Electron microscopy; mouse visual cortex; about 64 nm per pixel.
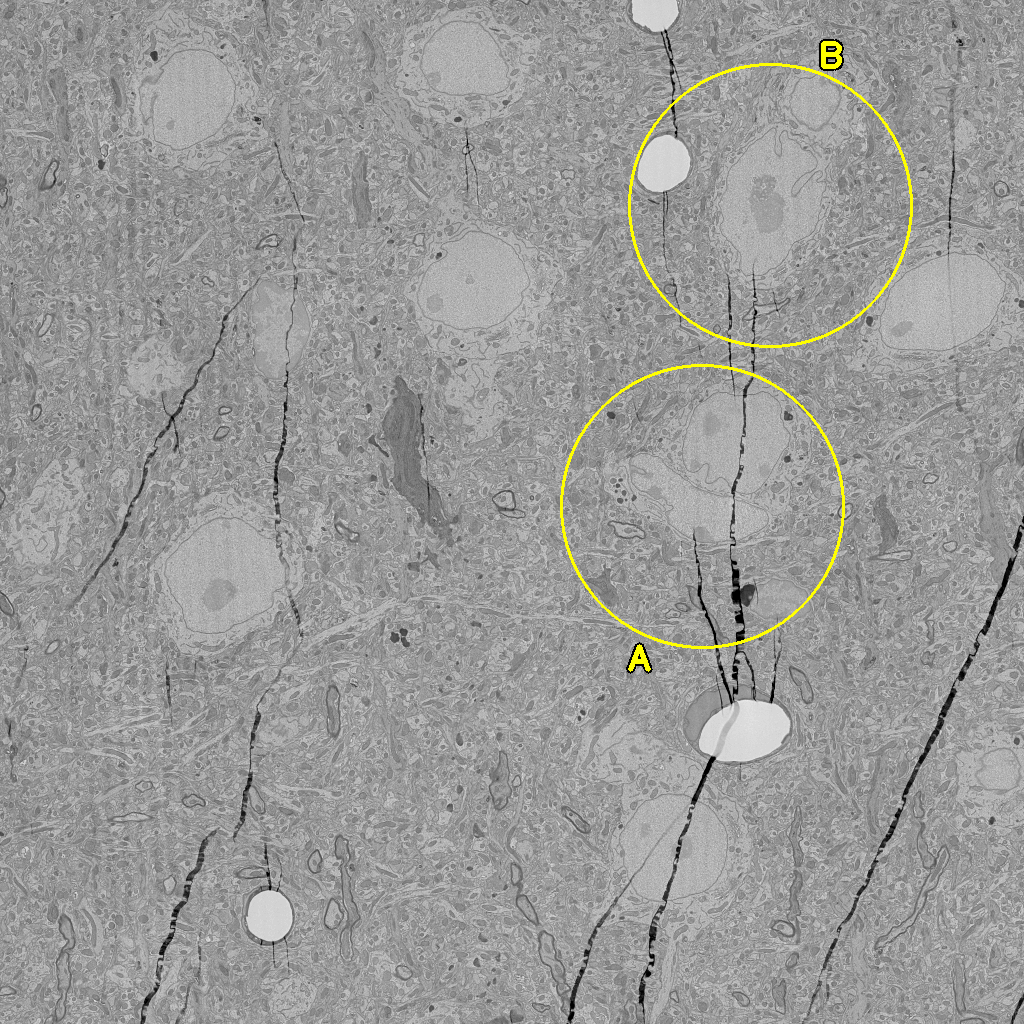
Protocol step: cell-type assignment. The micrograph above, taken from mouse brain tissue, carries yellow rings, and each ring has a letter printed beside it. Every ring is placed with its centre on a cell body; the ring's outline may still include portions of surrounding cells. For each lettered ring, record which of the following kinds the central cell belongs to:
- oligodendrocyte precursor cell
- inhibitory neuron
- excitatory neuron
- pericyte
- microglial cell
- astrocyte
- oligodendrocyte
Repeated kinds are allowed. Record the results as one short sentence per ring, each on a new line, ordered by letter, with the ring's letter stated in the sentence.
In ring A, the central cell is an oligodendrocyte precursor cell.
In ring B, the central cell is an inhibitory neuron.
